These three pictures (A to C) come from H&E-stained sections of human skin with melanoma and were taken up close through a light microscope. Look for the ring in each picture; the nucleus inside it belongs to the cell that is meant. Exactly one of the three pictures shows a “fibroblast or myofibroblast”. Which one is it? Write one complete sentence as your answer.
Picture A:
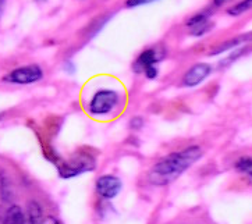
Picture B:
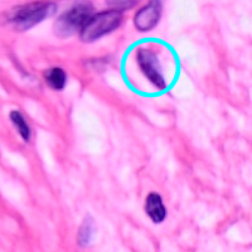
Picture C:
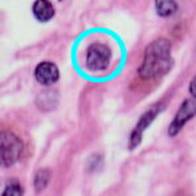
The “fibroblast or myofibroblast” is the one in picture B.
